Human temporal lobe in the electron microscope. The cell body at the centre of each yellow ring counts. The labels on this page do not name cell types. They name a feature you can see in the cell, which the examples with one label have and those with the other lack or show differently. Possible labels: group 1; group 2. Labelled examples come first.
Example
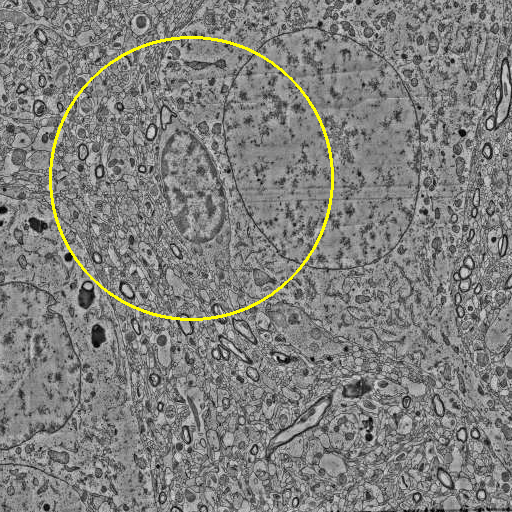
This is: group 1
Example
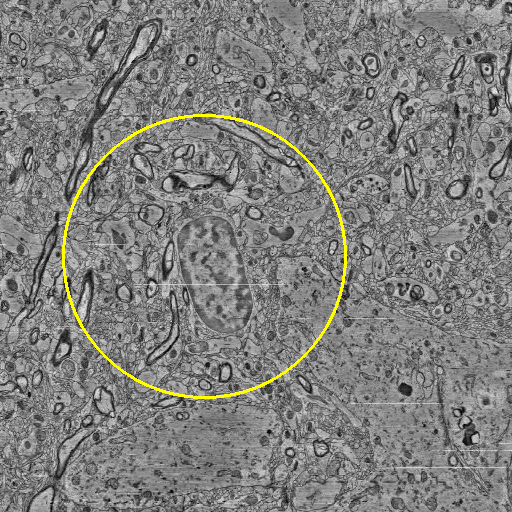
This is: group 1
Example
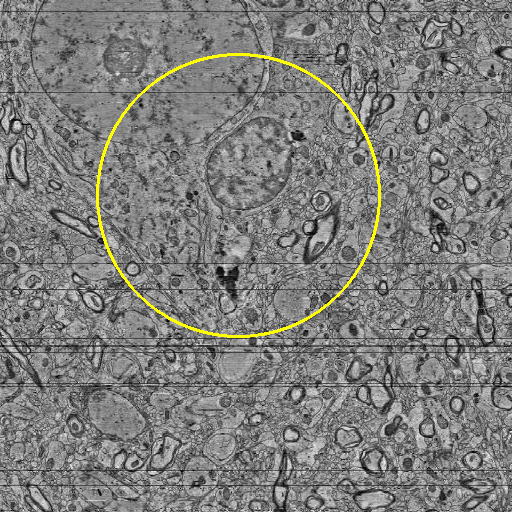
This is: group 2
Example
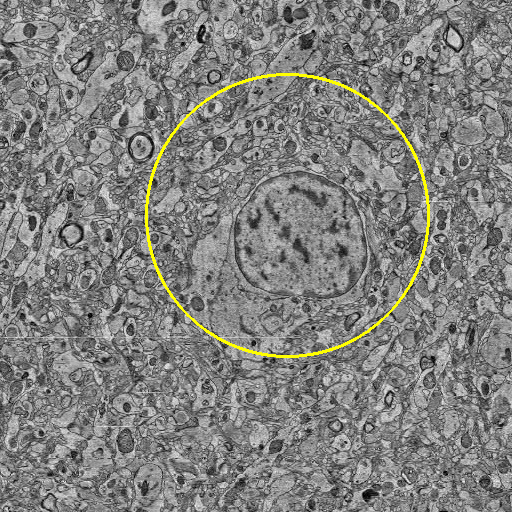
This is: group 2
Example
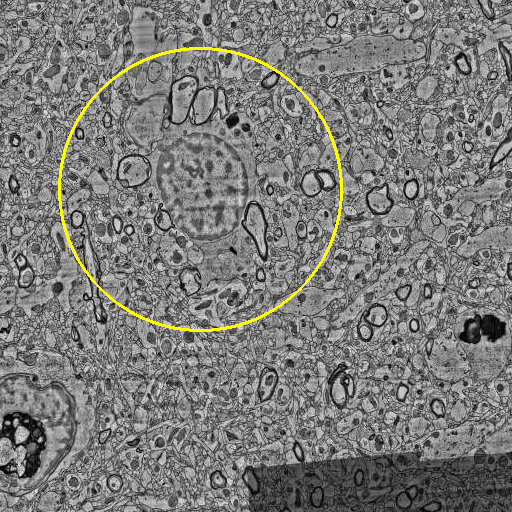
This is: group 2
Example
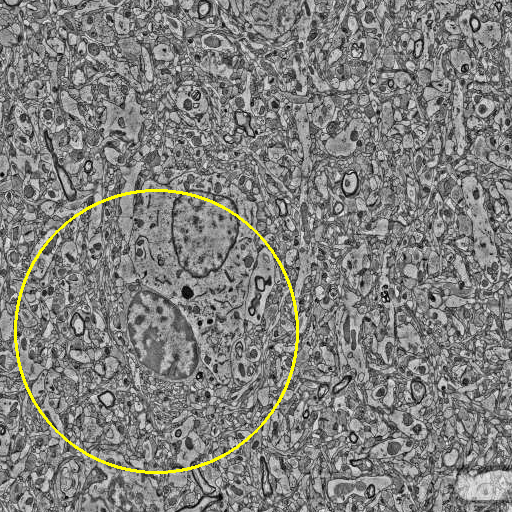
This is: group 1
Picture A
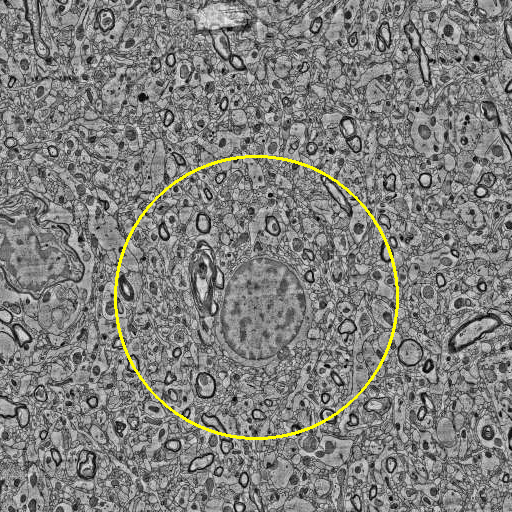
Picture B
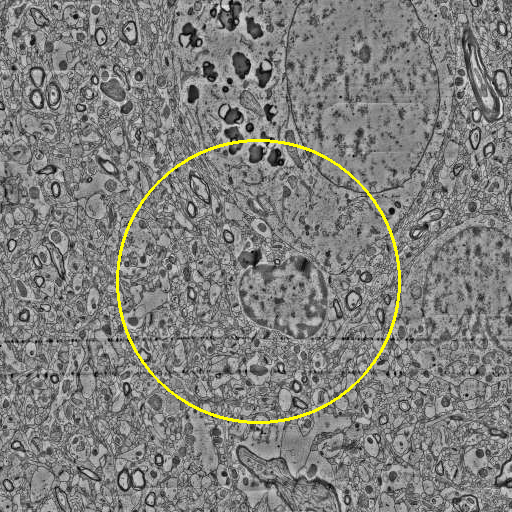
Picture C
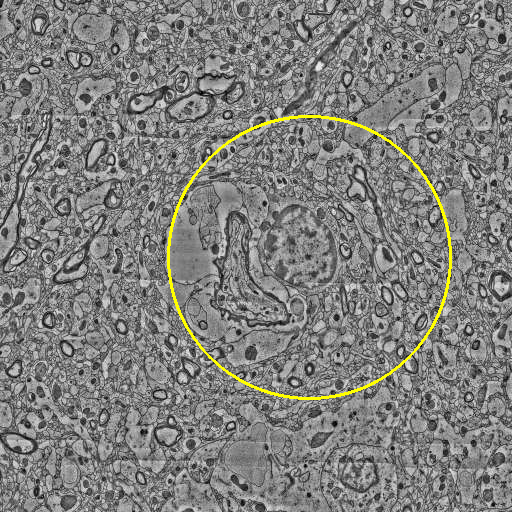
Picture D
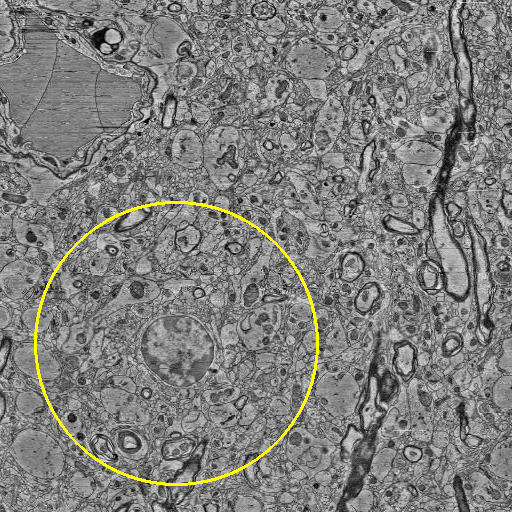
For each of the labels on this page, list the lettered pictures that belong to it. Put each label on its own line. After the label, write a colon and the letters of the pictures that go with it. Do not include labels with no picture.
group 2: A, B, C, D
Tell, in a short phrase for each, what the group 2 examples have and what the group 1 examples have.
group 2, round or nearly round nuclei; group 1, clearly elongated nuclei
